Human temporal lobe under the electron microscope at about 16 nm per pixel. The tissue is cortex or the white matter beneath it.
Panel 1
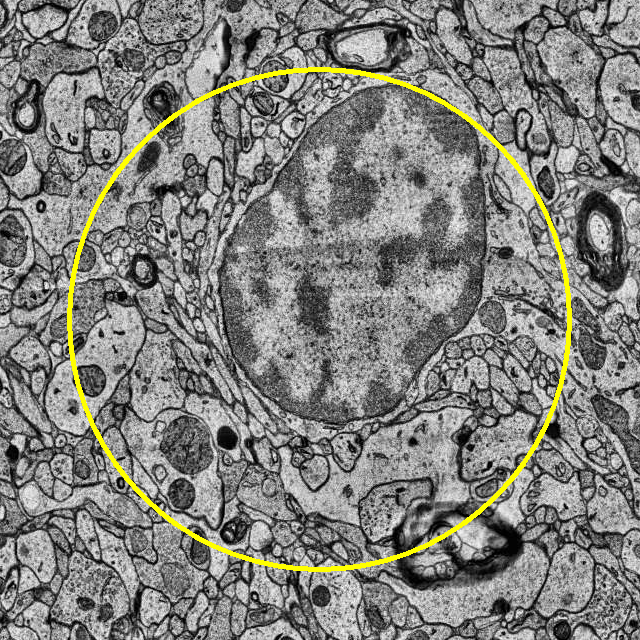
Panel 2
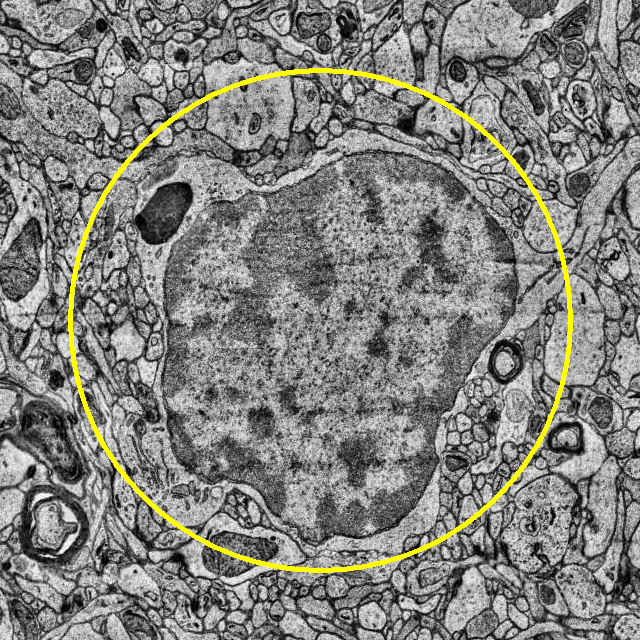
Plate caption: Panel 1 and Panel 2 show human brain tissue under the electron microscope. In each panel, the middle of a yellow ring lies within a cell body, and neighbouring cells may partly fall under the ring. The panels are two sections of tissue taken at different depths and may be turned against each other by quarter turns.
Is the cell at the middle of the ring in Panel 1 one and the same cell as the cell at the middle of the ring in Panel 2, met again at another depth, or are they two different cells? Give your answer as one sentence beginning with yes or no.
Yes, the first and second rings frame the same single cell.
